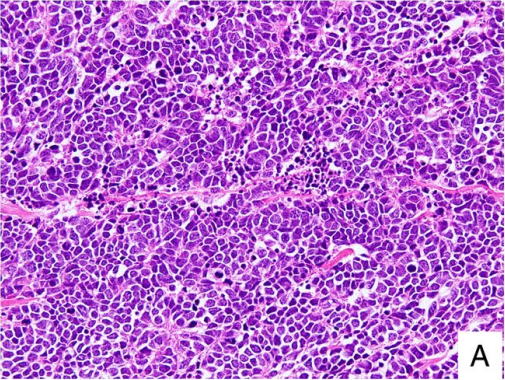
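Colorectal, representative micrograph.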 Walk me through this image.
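This is a dense sheet of tumour cells of small to medium size, packed closely with only thin pink strands of stroma running through. Their nuclei are dark purple, round to oval, and fill nearly the whole cell, leaving only a scant rim of cytoplasm. The cells are crowded and in places seem to press against one another. Scattered among them are cells with dark clumped chromatin, the look of mitotic figures. This is the picture of a small-cell neuroendocrine carcinoma with a high nuclear-cytoplasmic ratio.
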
